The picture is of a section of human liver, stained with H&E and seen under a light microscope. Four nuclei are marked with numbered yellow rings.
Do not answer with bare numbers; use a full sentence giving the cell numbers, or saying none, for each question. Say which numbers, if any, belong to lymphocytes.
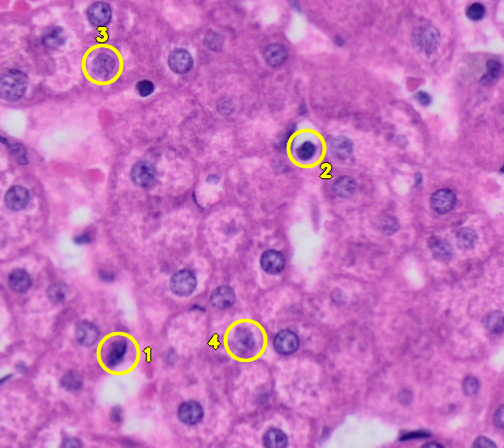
The nucleus numbered 2 is the only one that belongs to a lymphocyte.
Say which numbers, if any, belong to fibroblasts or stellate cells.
Of the cells carrying numbers, just cell 1 is a fibroblast or stellate cell.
